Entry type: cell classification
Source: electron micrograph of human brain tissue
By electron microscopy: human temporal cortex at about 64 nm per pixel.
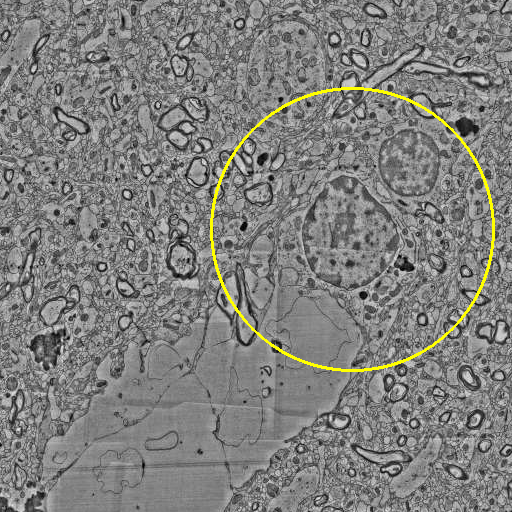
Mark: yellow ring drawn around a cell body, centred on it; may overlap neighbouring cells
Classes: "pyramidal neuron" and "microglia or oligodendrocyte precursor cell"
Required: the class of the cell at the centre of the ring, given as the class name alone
microglia or oligodendrocyte precursor cell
